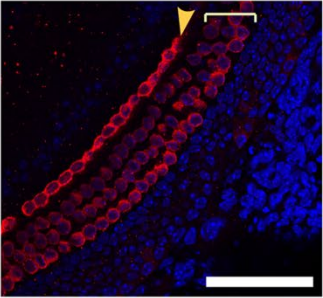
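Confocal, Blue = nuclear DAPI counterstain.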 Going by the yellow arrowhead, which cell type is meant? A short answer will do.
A: Inner hair cells.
